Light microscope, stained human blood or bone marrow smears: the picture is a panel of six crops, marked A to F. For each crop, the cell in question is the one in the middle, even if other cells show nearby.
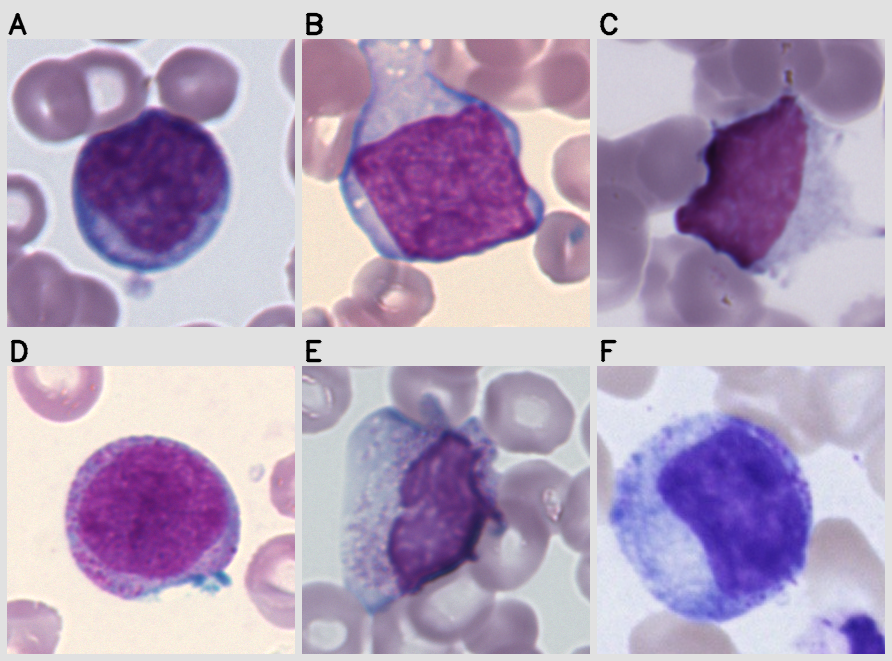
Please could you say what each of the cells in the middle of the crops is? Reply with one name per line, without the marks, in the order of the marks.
blast
blast
lymphocyte
promyelocyte
promyelocyte
promyelocyte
